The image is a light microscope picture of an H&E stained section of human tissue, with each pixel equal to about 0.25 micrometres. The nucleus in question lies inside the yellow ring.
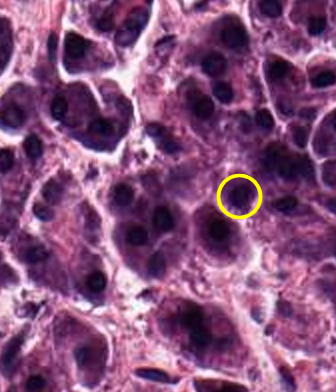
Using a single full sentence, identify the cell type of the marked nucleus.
The marked nucleus forms part of a pancreatic acinar cell.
